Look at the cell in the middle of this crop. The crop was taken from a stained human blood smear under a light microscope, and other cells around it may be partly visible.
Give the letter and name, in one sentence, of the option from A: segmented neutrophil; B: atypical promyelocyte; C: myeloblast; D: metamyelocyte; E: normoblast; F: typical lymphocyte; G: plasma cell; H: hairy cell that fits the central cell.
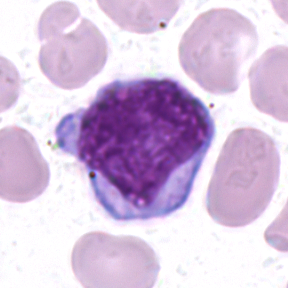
Since the cell in the middle is a plasma cell, option G is correct.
